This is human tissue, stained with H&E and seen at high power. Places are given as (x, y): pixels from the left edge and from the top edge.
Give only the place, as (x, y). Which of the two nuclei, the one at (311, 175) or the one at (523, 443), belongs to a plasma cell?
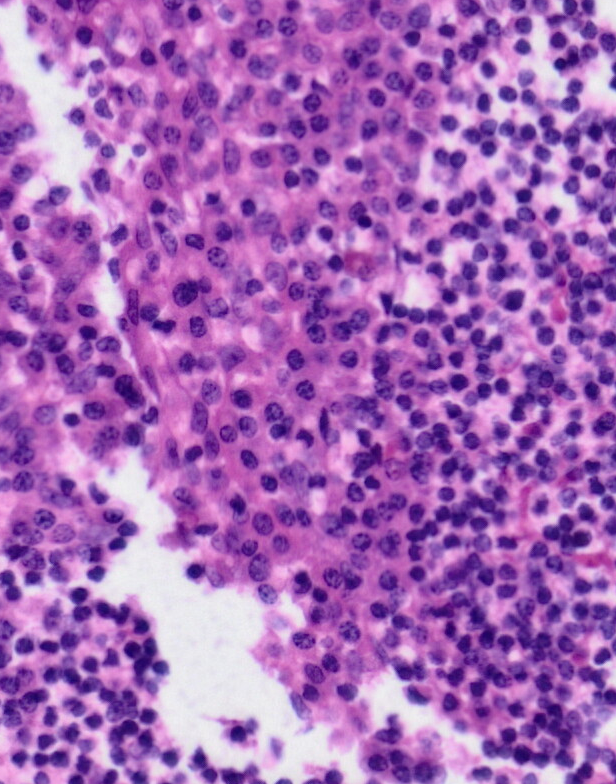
(311, 175)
